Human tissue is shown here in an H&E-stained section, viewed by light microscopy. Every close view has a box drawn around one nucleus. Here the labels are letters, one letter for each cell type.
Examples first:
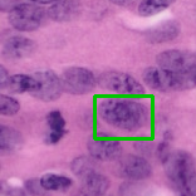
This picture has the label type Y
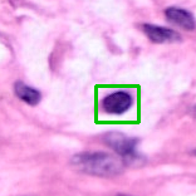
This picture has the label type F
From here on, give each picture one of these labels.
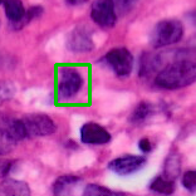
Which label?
type F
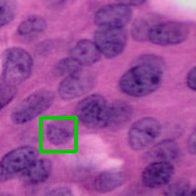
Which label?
type Y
